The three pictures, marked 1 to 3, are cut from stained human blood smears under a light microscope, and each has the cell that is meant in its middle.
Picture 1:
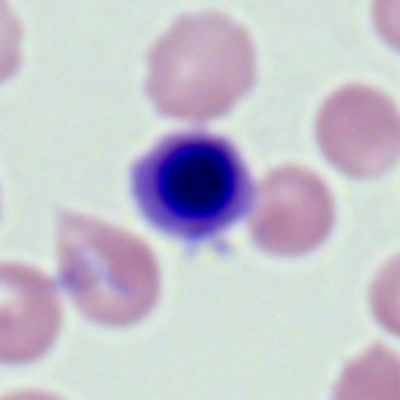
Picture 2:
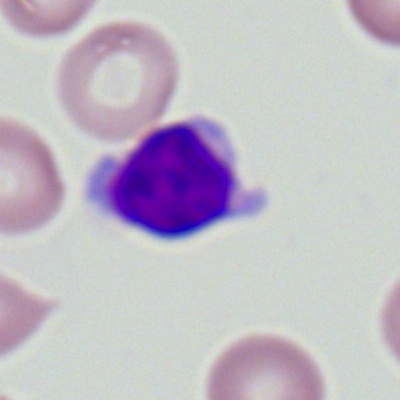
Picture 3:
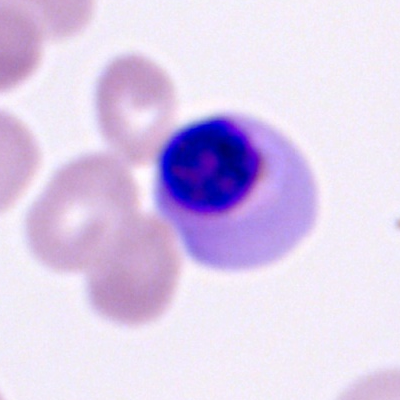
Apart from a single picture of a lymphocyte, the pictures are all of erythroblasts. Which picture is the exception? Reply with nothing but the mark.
2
